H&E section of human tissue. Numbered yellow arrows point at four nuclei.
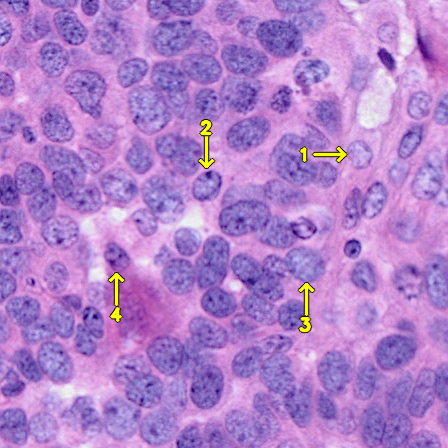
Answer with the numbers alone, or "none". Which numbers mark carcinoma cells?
3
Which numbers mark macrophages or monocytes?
2, 4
